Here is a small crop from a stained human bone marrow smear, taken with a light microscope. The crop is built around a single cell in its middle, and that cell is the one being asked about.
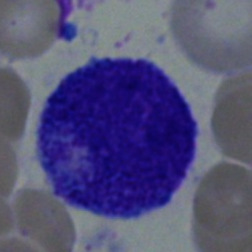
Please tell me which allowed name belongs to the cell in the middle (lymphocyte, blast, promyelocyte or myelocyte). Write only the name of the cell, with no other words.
promyelocyte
